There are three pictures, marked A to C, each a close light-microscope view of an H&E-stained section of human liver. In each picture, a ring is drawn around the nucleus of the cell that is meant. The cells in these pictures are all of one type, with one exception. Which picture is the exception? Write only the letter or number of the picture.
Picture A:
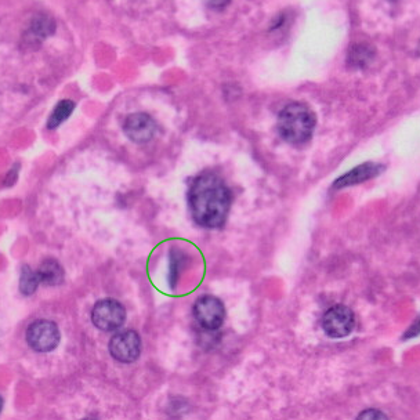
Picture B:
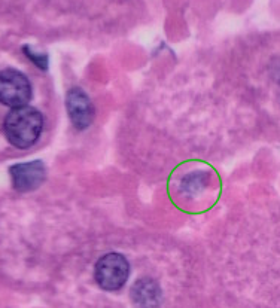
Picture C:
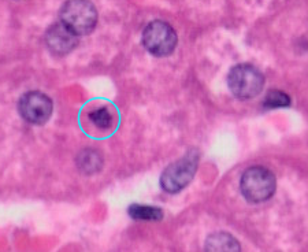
C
